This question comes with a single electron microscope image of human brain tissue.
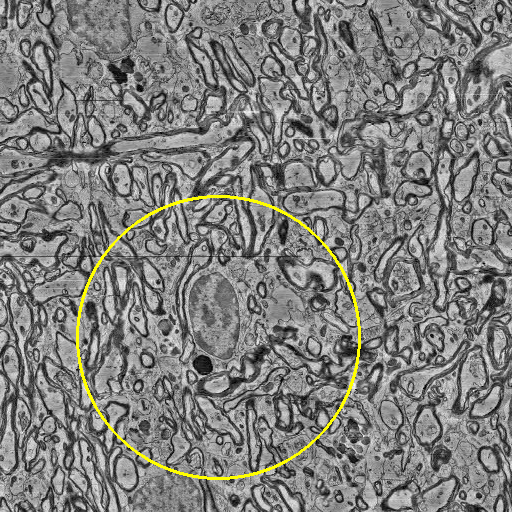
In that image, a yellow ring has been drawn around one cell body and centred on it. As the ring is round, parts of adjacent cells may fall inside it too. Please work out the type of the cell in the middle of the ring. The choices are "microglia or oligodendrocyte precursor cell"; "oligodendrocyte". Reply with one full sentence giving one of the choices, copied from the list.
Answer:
Of the choices, a microglial cell or oligodendrocyte precursor cell is the cell sitting in the middle of the ring.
